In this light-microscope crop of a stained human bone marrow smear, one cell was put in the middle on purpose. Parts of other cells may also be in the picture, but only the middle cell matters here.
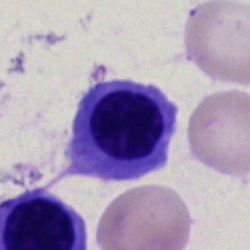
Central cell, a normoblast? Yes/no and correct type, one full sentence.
Yes, the cell at the middle is a normoblast.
